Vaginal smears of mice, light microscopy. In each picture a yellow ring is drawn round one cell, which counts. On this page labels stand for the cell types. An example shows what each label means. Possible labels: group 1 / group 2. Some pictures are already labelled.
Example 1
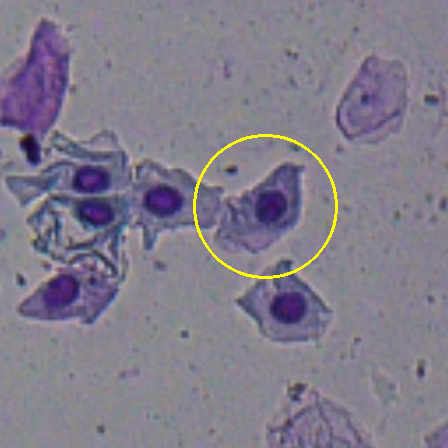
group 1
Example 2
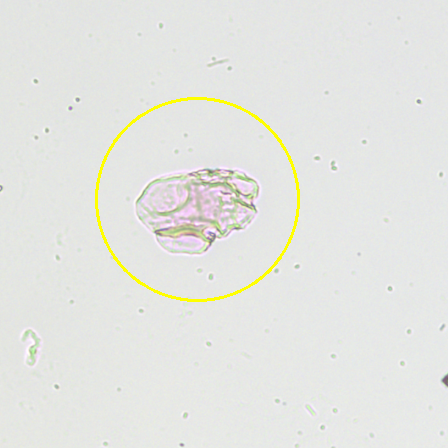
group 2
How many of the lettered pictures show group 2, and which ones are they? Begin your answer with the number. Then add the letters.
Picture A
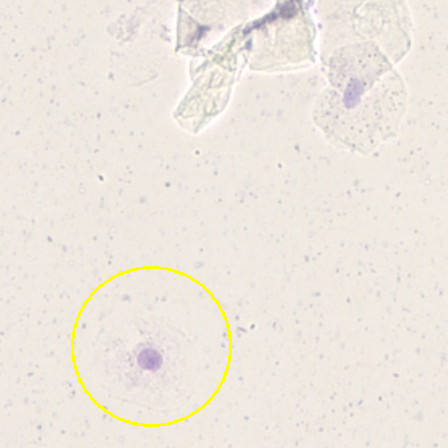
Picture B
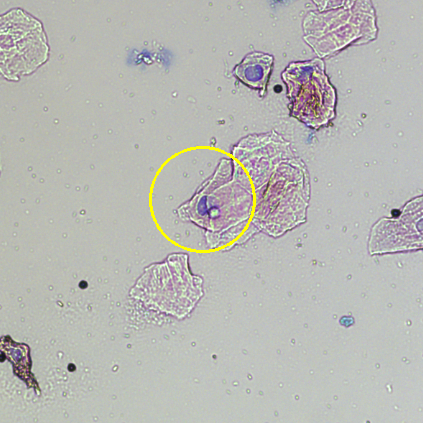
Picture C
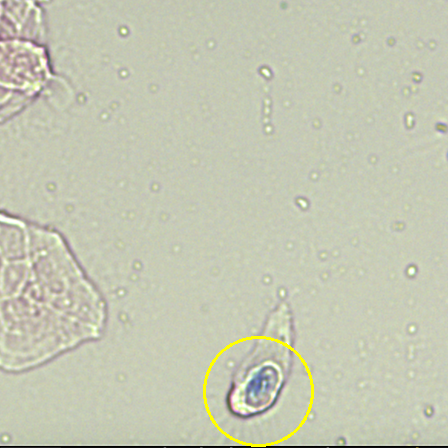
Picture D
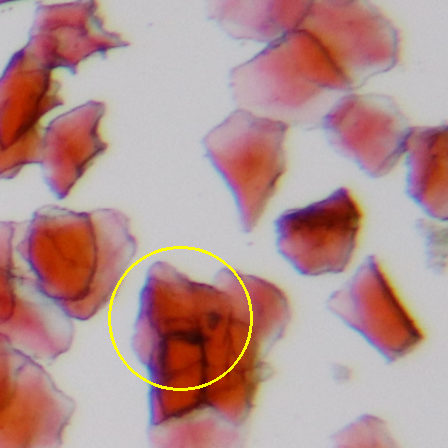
1, namely D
